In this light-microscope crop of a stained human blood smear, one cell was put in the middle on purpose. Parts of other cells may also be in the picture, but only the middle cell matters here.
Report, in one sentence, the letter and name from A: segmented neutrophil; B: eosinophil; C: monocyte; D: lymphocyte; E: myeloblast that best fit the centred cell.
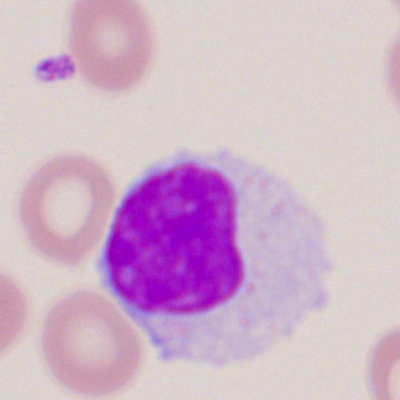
Option D is the correct one; it names the central cell as a lymphocyte.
